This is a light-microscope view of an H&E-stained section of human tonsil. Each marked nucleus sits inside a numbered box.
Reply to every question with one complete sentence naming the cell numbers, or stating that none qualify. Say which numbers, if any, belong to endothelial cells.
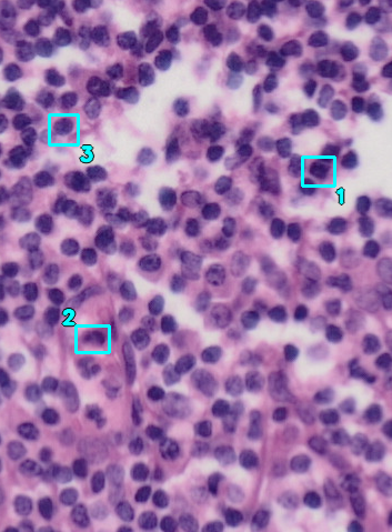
Just the cell marked 2 is an endothelial cell; none of the other marked cells is.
